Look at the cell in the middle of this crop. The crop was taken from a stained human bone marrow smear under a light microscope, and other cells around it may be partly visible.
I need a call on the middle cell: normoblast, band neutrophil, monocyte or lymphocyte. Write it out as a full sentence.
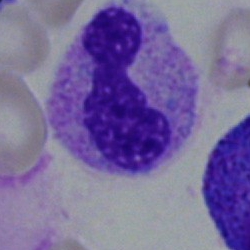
The cell at the centre of the field is a band neutrophil.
